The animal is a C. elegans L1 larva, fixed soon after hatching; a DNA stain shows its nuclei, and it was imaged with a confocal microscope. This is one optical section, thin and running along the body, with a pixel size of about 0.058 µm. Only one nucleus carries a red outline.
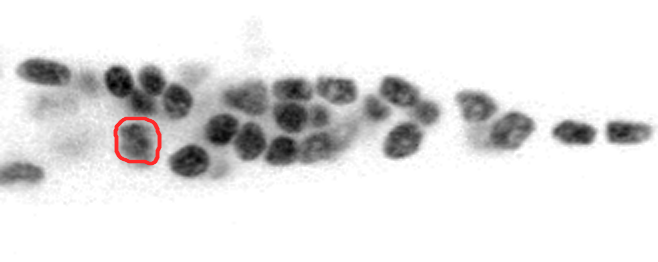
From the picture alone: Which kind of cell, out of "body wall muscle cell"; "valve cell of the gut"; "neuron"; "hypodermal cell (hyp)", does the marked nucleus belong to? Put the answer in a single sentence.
The cell with the marked nucleus is a valve cell of the gut.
